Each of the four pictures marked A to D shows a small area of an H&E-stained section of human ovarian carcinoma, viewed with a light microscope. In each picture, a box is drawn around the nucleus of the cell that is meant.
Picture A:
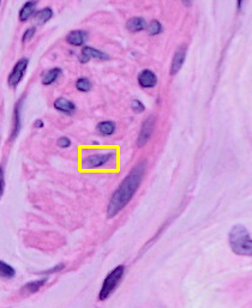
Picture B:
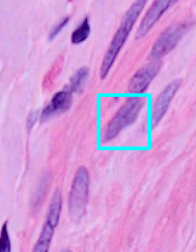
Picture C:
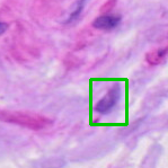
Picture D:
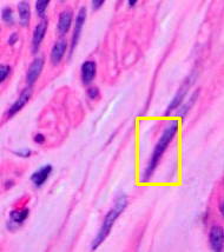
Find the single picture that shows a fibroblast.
C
